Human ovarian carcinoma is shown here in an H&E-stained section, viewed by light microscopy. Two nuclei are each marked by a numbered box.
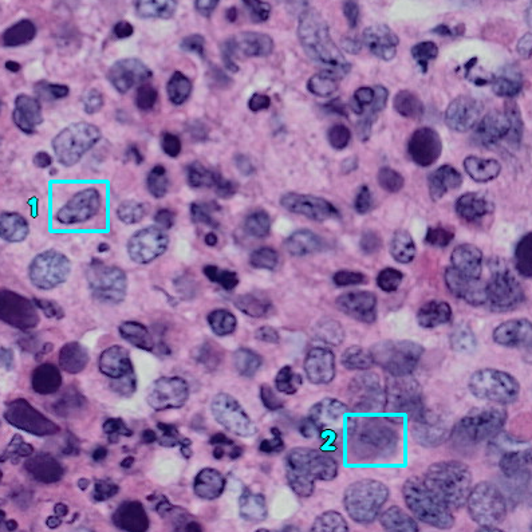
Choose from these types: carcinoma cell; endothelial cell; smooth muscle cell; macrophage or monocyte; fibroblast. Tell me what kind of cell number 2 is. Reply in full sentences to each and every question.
The marked nucleus 2 is that of a carcinoma cell.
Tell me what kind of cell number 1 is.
The cell that carries the label 1 is a macrophage or monocyte.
